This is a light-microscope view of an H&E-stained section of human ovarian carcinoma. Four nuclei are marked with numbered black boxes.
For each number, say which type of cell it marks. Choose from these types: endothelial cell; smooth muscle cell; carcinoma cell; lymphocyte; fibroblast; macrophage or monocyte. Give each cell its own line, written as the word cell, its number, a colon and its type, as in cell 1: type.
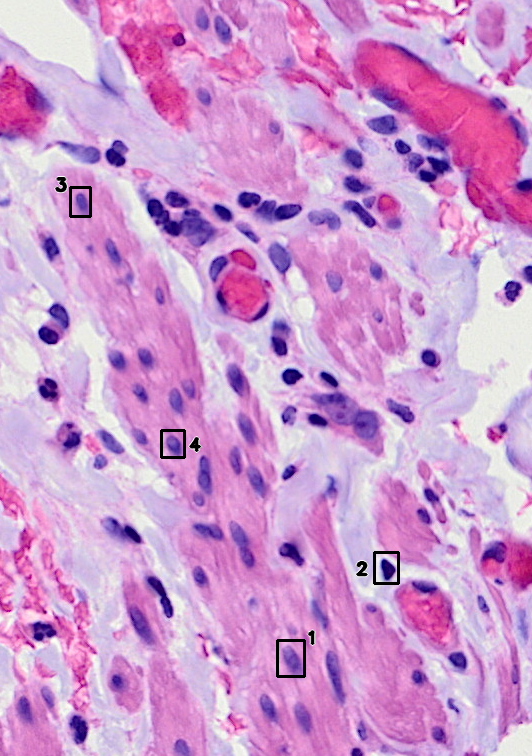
cell 1: smooth muscle cell
cell 2: lymphocyte
cell 3: smooth muscle cell
cell 4: smooth muscle cell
